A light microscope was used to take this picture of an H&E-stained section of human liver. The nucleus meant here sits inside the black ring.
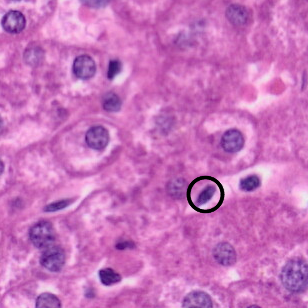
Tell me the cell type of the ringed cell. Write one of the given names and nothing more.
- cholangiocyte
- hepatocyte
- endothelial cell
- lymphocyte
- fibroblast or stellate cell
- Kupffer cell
lymphocyte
